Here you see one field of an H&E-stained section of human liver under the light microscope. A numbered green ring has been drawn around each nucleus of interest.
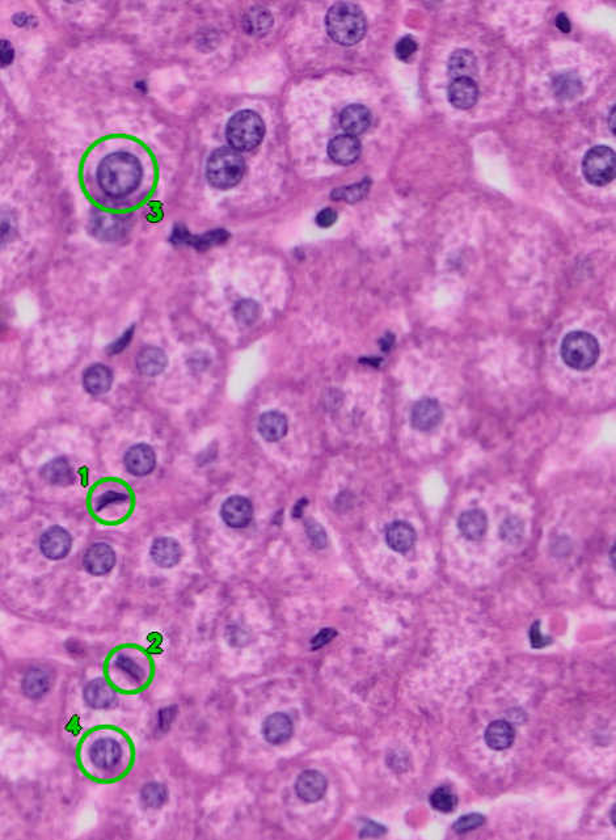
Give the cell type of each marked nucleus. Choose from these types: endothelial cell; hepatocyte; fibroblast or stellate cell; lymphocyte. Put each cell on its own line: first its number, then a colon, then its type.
1: endothelial cell
2: fibroblast or stellate cell
3: hepatocyte
4: hepatocyte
